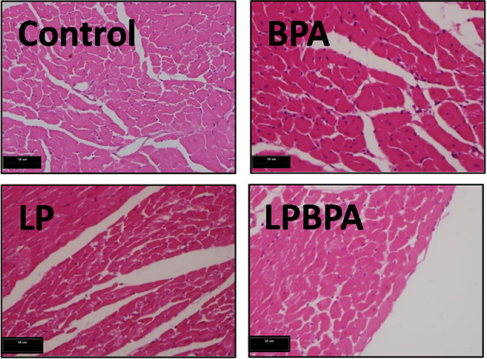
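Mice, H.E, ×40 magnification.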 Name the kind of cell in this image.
Cardiomyocyte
